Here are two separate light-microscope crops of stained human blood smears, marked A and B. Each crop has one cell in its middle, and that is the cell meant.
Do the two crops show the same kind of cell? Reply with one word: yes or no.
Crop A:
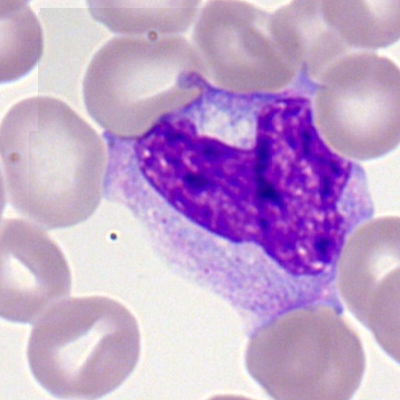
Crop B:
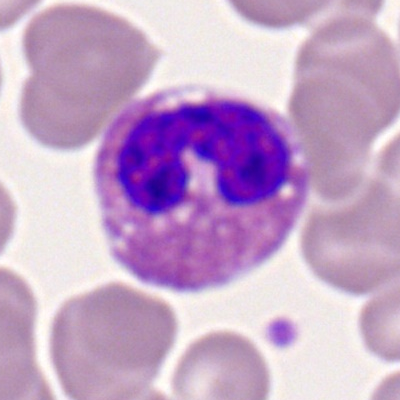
no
